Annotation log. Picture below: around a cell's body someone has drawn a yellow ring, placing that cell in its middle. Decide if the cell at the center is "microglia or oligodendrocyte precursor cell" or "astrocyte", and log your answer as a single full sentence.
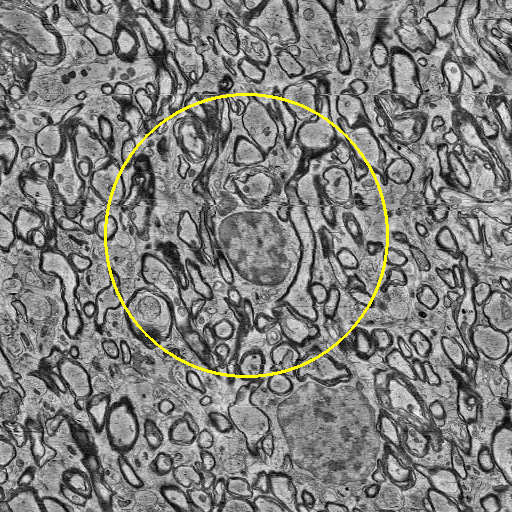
My entry records a microglial cell or oligodendrocyte precursor cell as the cell sitting at the center of the yellow ring.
